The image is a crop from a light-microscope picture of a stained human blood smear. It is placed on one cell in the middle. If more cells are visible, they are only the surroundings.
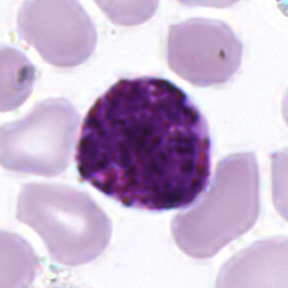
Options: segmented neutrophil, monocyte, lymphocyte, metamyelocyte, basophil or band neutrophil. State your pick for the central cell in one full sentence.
Centred in the crop is a basophil.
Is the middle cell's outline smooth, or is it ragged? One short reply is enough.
The outline traces a smooth curve with no projections along it.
